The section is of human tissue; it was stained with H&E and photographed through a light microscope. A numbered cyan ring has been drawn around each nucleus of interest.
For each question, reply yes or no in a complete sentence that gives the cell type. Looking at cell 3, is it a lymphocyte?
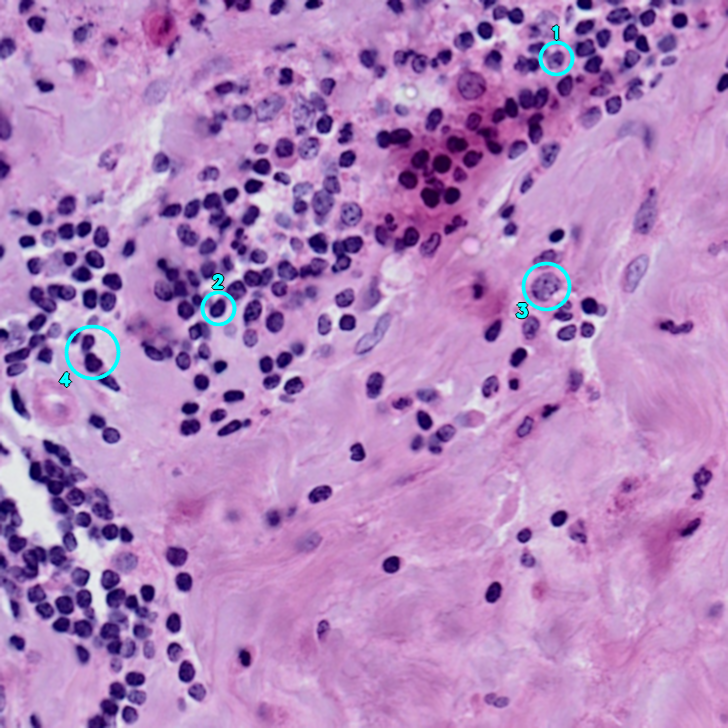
No, the cell tagged 3 is a macrophage, monocyte or dendritic cell, and not a lymphocyte.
